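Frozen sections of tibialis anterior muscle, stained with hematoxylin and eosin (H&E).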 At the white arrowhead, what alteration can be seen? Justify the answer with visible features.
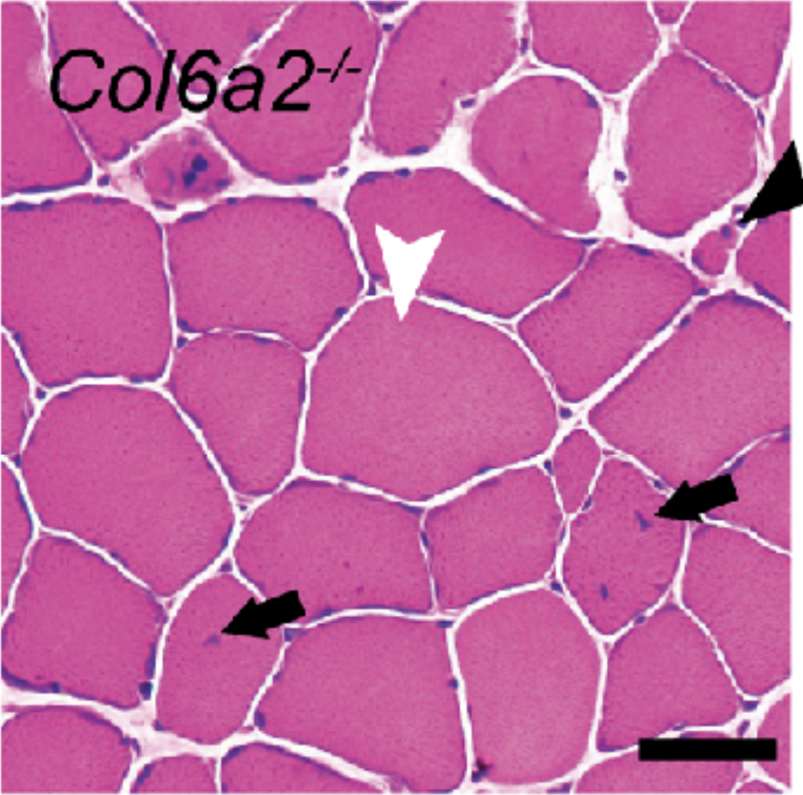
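The white arrowhead points to a large polygonal fiber. It is larger than most fibers around it.
Answer: myofiber hypertrophy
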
